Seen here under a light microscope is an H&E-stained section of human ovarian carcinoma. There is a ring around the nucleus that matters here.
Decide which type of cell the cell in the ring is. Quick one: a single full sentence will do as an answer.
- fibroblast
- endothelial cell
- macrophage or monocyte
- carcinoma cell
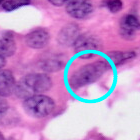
In this tissue section, the cell in the ring is to be classed as a carcinoma cell.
